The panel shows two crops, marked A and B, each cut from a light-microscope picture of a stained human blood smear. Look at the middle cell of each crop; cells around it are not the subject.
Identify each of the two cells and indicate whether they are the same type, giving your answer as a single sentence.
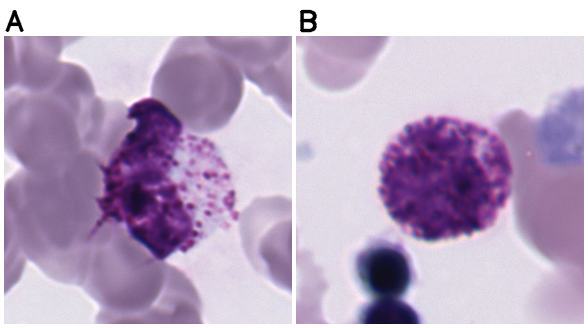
Yes, both crops have basophils as their central cells.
